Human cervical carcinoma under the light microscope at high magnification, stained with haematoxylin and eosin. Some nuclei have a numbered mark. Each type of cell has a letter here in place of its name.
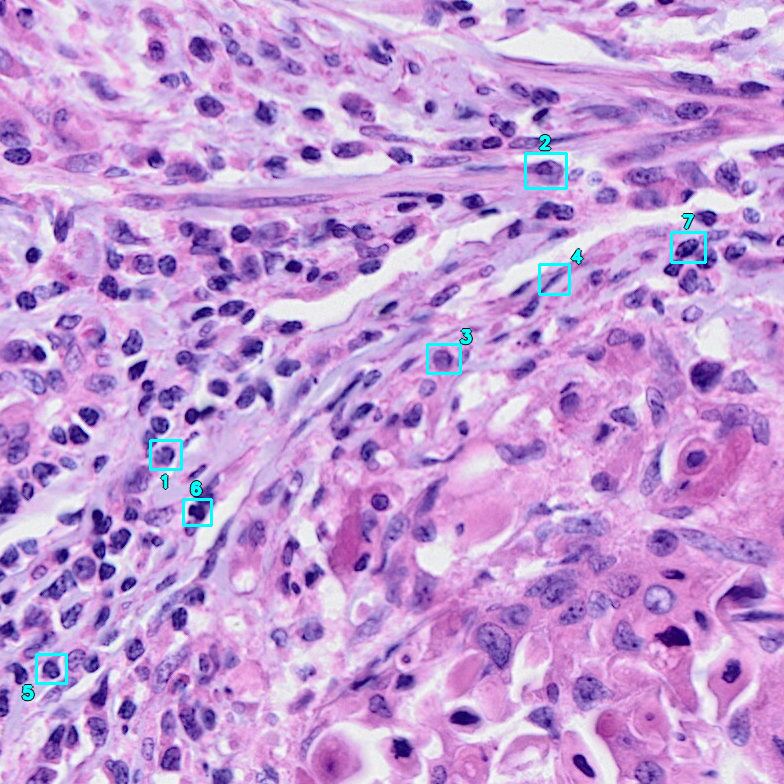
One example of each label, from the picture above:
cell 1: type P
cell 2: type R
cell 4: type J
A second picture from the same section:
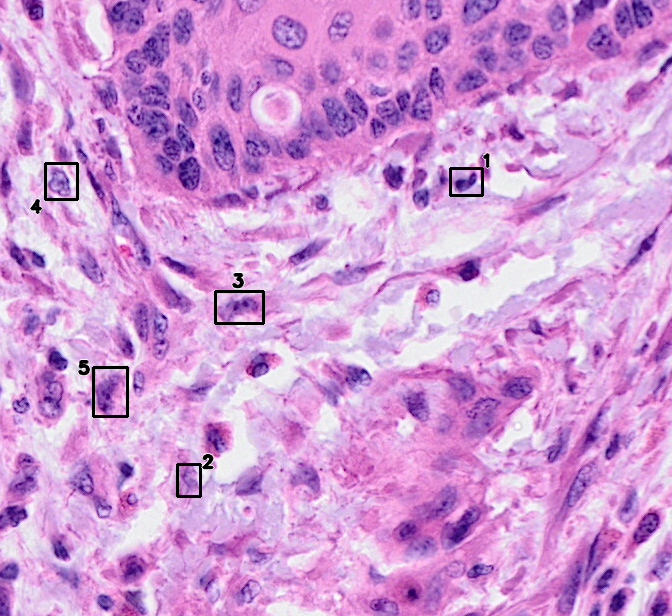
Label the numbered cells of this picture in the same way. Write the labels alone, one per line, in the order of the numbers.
type P
type J
type J
type J
type R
